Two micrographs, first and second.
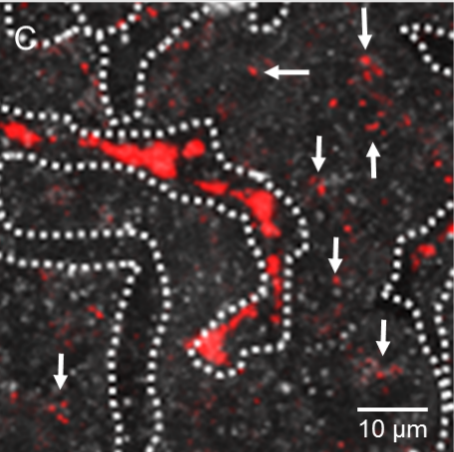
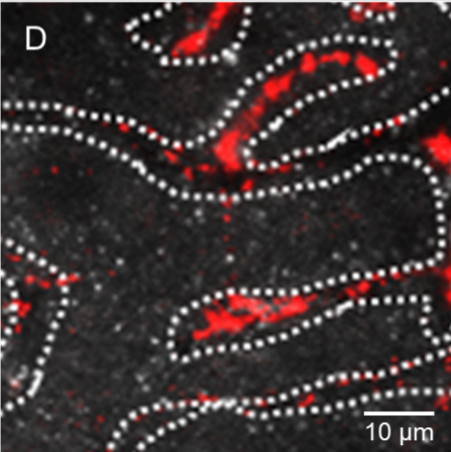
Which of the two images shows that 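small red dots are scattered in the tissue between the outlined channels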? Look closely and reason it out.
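Second image: red signal lies almost only inside the dotted outlines. First image: several small red dots lie in the grey tissue outside the dotted outlines. On this evidence: the first image.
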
